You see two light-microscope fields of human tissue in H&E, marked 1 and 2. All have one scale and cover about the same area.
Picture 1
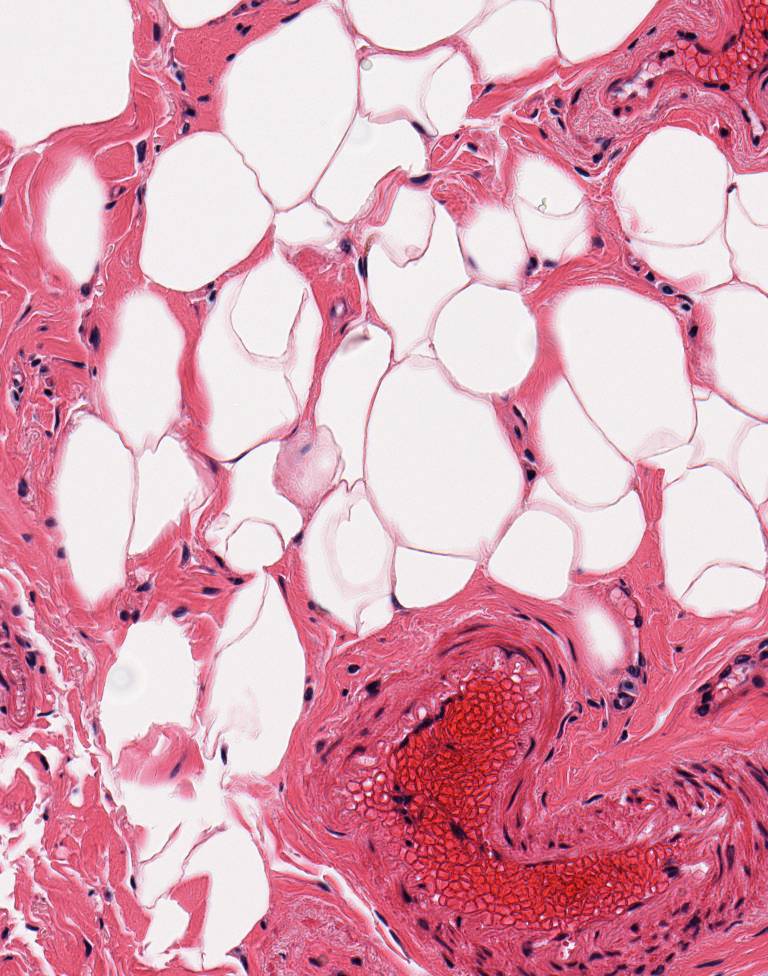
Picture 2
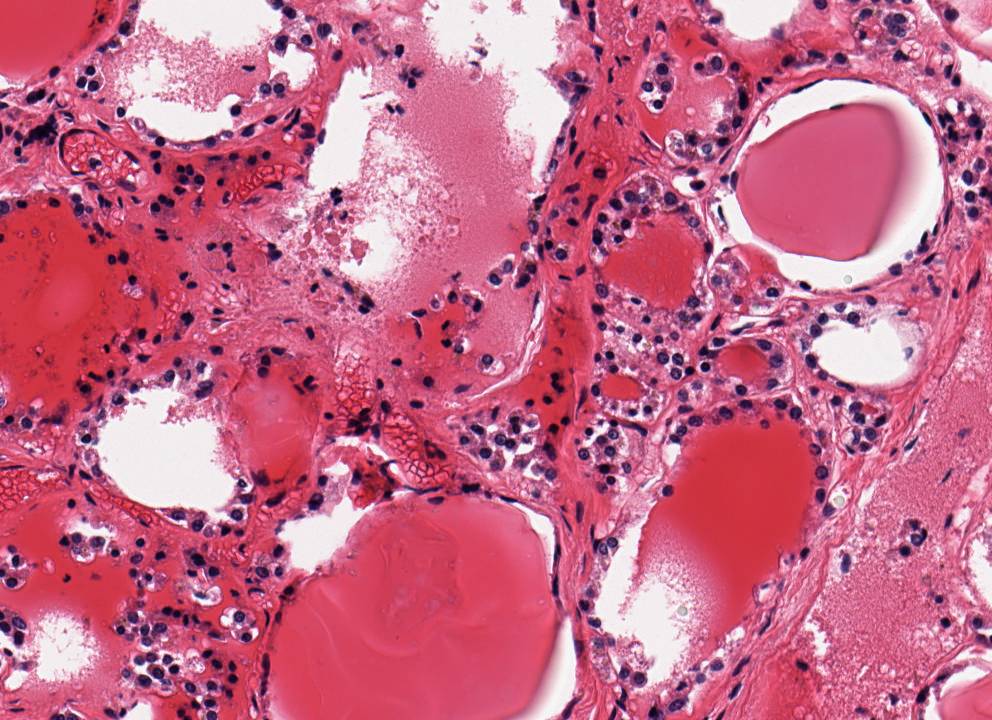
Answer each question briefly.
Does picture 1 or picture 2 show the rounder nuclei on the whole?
2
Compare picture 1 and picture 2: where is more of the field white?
1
